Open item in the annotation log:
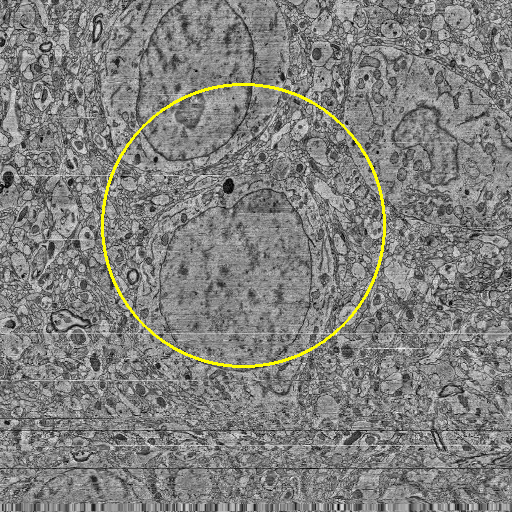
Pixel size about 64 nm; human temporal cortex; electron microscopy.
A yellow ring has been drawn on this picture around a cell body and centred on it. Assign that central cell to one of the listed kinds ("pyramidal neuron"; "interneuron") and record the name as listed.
pyramidal neuron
